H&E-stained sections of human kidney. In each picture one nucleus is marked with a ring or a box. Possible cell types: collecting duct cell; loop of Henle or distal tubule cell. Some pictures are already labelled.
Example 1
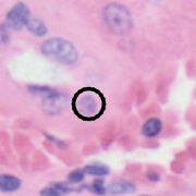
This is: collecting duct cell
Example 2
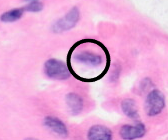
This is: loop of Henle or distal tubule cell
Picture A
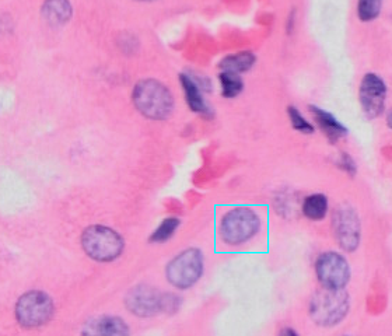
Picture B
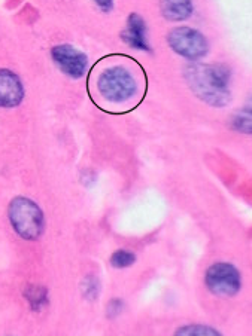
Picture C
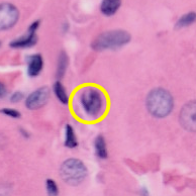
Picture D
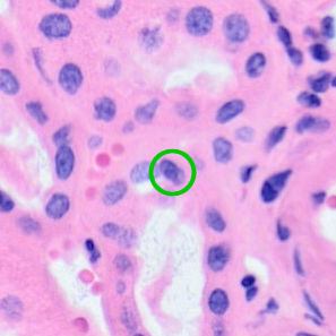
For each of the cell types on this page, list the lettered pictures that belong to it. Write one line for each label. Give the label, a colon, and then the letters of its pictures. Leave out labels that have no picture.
collecting duct cell: A, D
loop of Henle or distal tubule cell: B, C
